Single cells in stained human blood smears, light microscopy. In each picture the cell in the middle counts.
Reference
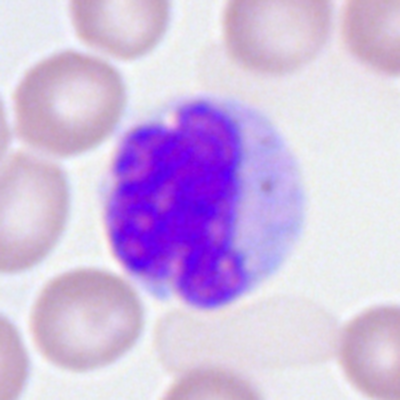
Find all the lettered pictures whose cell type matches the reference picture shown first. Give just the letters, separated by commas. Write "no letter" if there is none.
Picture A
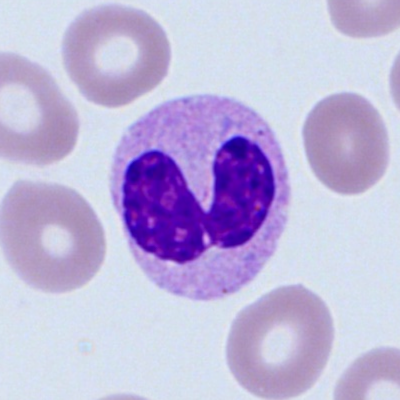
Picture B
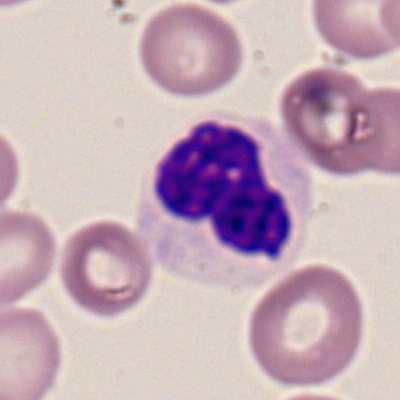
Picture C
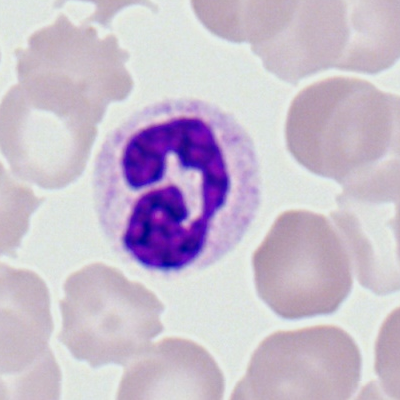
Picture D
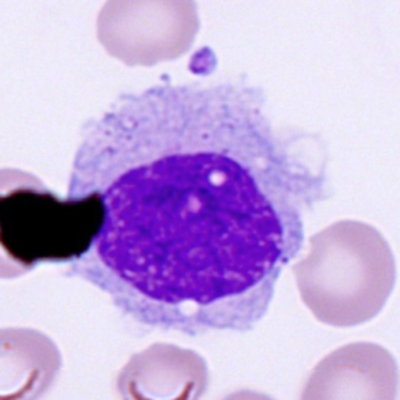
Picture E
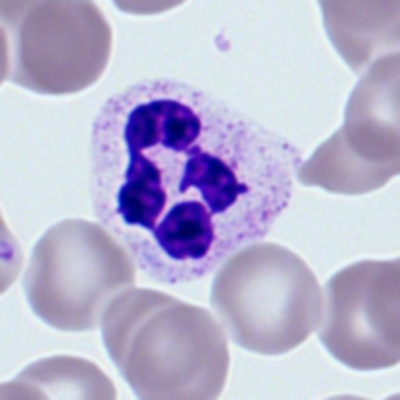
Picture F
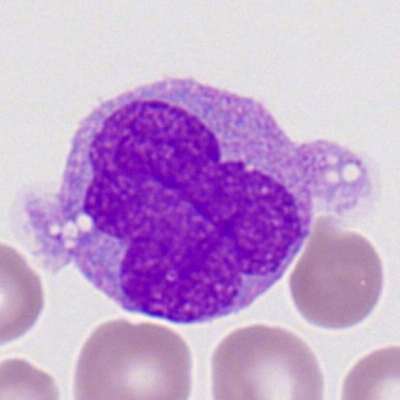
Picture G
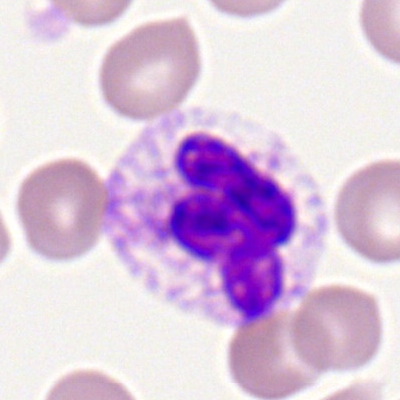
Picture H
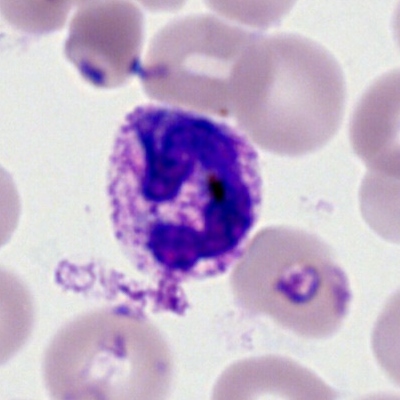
D, F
